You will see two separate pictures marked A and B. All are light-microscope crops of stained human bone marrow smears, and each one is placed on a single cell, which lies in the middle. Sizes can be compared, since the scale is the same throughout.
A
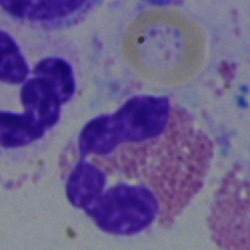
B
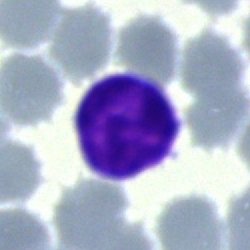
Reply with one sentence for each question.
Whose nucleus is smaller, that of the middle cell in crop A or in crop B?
Crop A shows the smaller nucleus, since that in crop B covers about 2.5 times as much area.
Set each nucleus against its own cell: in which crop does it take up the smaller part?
In crop A the nucleus takes up the smaller part of its cell.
